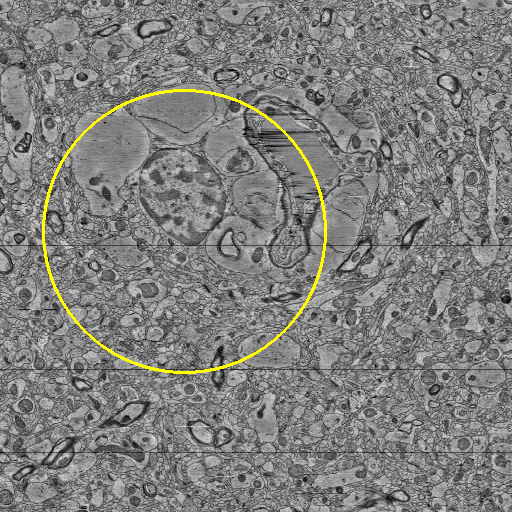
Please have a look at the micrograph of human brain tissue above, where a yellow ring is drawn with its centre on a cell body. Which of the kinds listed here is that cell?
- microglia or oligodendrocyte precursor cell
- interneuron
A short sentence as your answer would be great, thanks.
At the centre of the ring sits a microglial cell or oligodendrocyte precursor cell.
